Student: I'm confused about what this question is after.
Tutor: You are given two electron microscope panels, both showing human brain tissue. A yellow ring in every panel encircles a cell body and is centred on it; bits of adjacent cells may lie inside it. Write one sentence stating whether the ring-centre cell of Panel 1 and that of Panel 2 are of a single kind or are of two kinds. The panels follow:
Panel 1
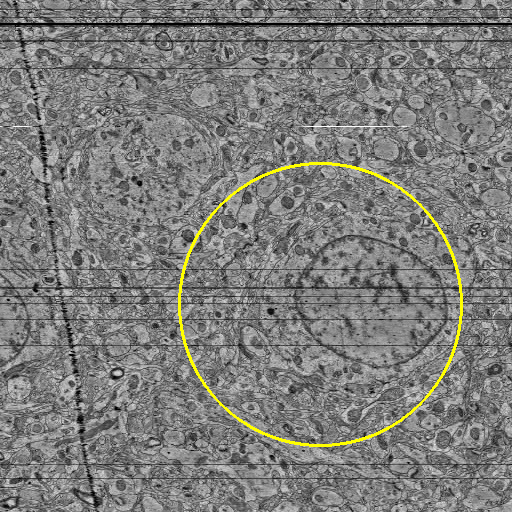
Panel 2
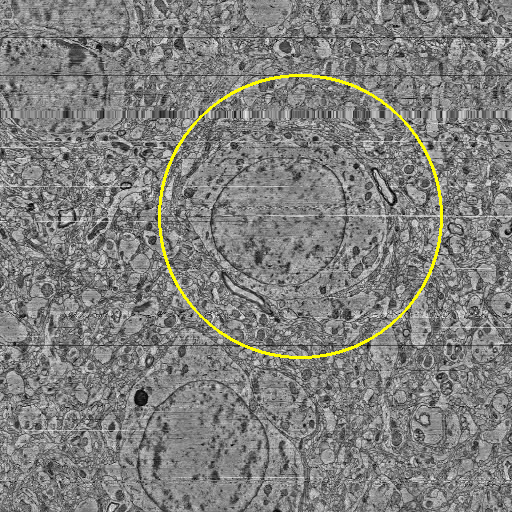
Here, the Panel 1 ring-centre cell and the Panel 2 ring-centre cell are of a single kind.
